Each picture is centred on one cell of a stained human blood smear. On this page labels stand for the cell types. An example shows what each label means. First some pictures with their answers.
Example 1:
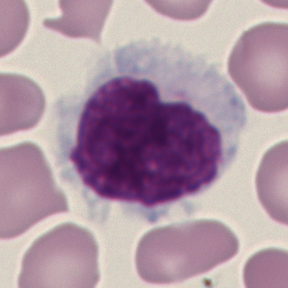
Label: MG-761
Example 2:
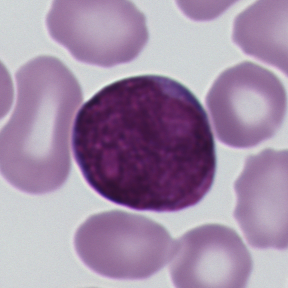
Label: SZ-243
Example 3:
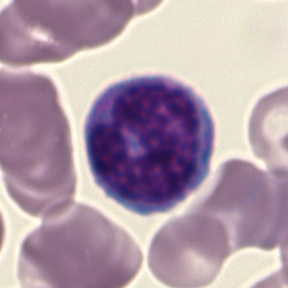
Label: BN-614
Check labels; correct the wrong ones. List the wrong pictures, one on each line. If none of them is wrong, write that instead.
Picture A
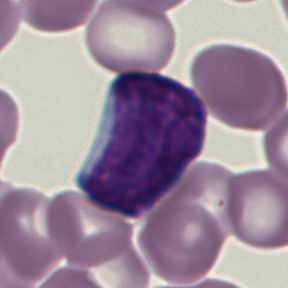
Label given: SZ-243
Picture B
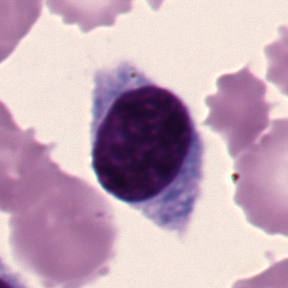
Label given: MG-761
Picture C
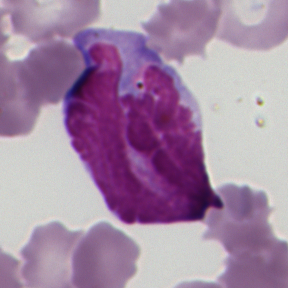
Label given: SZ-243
Nothing to fix; every label fits.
